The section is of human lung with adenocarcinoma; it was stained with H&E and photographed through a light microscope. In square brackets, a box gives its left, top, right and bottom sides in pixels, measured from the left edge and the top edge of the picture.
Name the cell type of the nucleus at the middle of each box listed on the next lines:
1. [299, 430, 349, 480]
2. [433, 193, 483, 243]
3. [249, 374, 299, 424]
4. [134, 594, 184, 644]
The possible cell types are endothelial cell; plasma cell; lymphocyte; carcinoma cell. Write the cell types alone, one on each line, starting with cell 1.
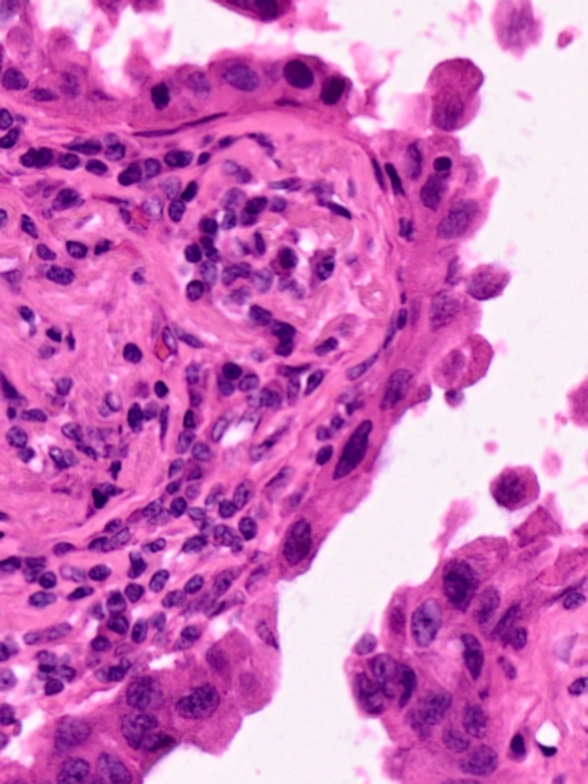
lymphocyte
carcinoma cell
plasma cell
lymphocyte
